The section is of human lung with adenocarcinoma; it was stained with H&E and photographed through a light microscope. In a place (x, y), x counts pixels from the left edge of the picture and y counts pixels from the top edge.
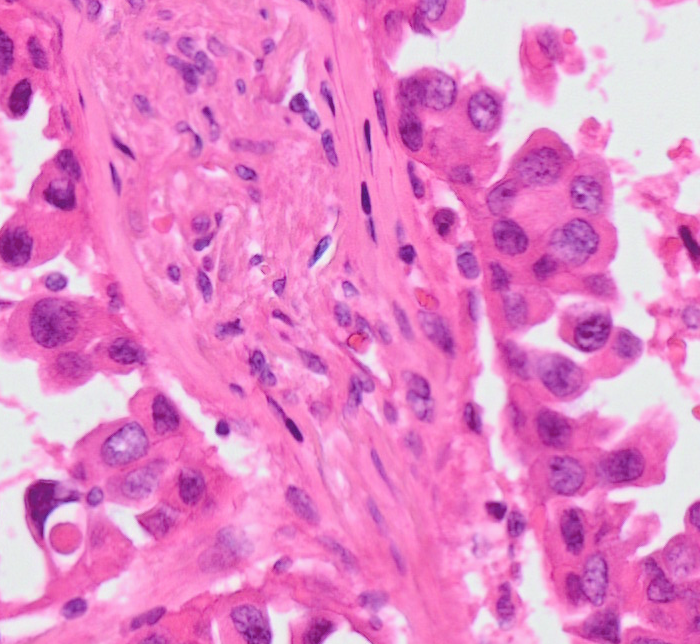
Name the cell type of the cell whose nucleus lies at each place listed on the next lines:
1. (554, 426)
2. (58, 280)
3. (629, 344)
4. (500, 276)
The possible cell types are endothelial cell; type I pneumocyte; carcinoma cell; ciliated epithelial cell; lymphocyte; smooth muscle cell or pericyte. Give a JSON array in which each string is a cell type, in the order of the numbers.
["carcinoma cell", "lymphocyte", "carcinoma cell", "carcinoma cell"]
